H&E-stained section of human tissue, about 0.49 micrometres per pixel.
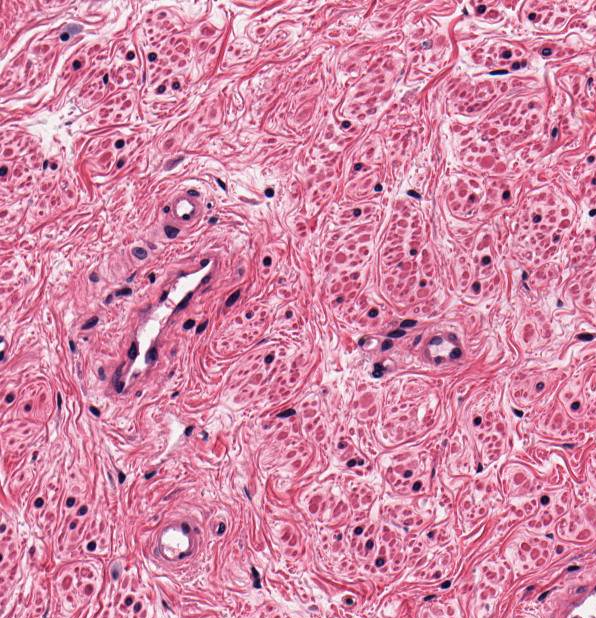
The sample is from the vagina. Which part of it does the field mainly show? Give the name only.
smooth muscle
